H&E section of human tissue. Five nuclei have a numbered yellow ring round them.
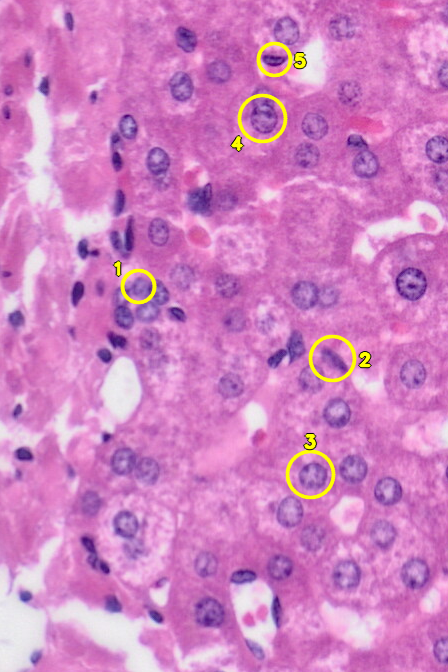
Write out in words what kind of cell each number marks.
Cell 1 is a cholangiocyte. Cells 2 and 5 are fibroblasts or stellate cells. Cells 3 and 4 are hepatocytes.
